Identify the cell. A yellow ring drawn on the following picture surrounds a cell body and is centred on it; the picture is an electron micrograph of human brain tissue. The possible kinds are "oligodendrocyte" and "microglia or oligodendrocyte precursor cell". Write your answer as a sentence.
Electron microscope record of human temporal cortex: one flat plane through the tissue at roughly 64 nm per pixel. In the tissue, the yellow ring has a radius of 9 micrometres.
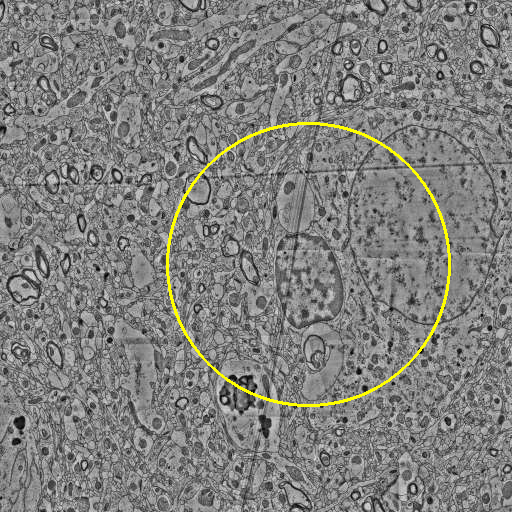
The cell identified by the ring is a microglial cell or oligodendrocyte precursor cell.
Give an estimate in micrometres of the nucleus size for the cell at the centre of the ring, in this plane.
In this plane, roughly 6 by 5 micrometres.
